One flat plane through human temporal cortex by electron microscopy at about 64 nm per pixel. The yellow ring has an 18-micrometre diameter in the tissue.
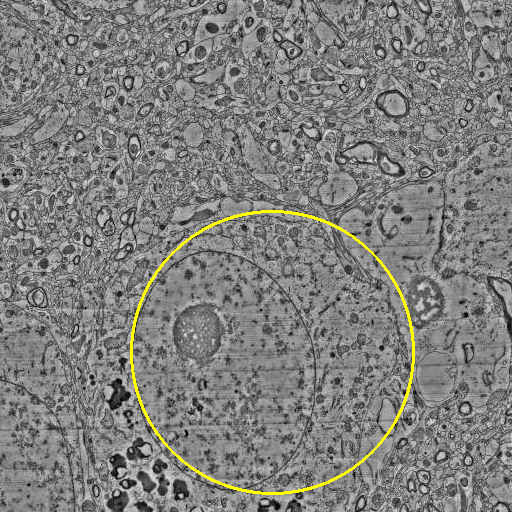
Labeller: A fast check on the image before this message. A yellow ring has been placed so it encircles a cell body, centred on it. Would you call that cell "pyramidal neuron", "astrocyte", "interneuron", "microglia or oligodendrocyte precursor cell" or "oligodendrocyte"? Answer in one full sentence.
In this image, a pyramidal neuron is the cell on which the yellow ring is centred.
